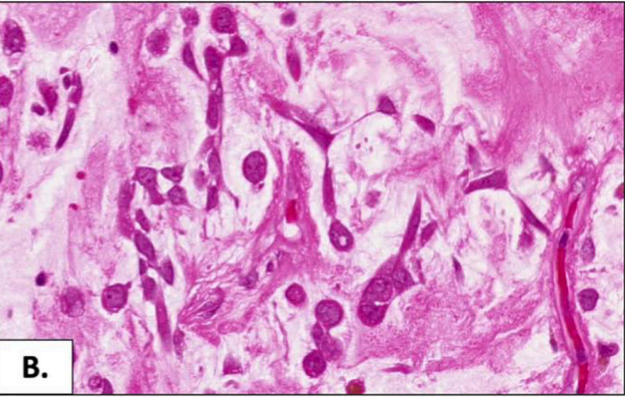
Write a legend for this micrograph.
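High-power view of tumour cells lying in a pale, loose myxoid stroma. Many cells are elongated or angular and send out long, thin cytoplasmic processes that touch those of neighbouring cells, so that the cells form short interconnecting chains and cords. Some cells are rounder and lie singly or in small clusters. The surrounding matrix is pale pink, wispy and bubbly, with scattered fine fibres. A thin, deeply pink elongated structure runs vertically along the right edge.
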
